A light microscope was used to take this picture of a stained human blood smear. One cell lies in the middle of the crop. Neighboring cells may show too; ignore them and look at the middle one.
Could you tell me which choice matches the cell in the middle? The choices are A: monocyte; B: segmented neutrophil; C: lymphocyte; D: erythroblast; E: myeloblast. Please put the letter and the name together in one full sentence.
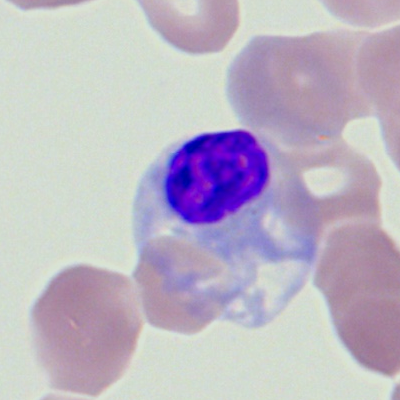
The cell in the middle is correctly identified as an erythroblast in option D.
